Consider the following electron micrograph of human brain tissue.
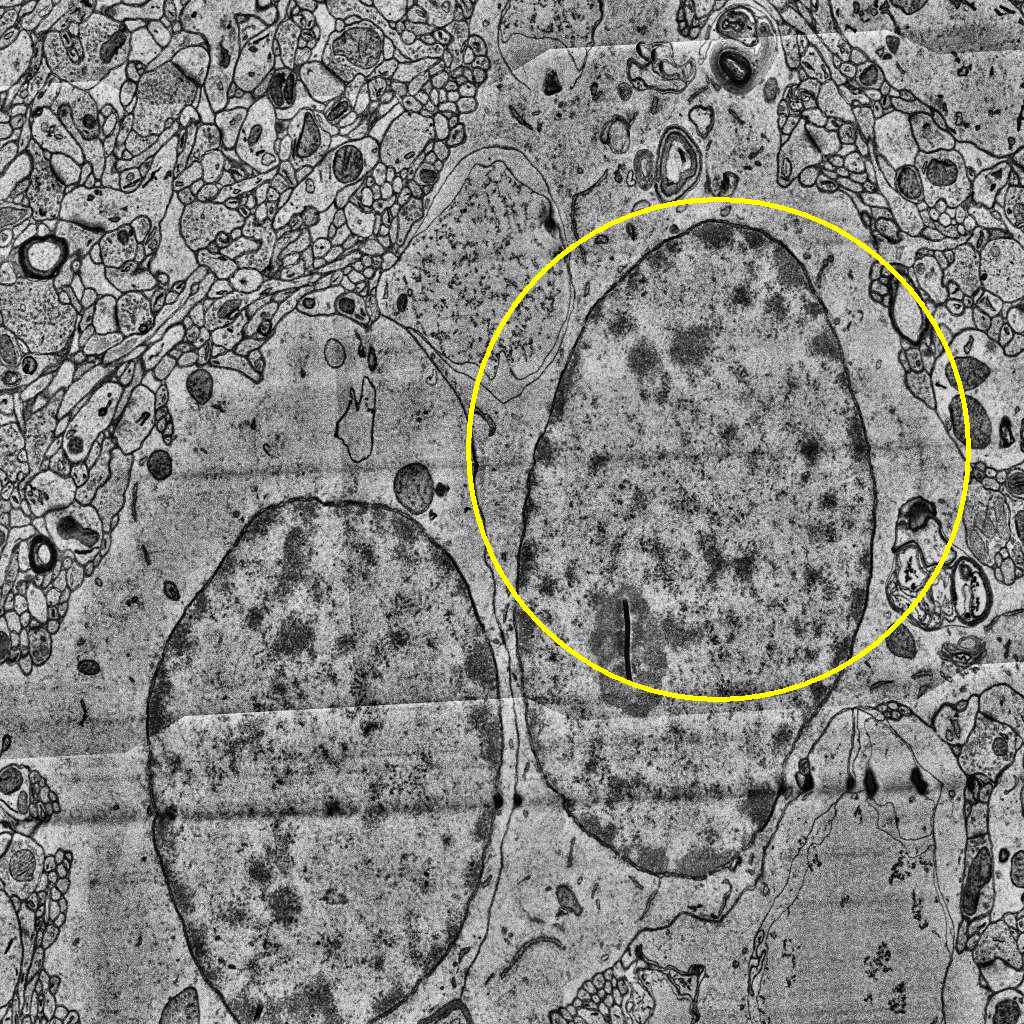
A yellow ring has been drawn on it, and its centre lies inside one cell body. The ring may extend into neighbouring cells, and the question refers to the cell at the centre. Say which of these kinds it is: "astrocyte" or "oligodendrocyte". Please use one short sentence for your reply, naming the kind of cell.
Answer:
The centre of the ring falls on an astrocyte.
